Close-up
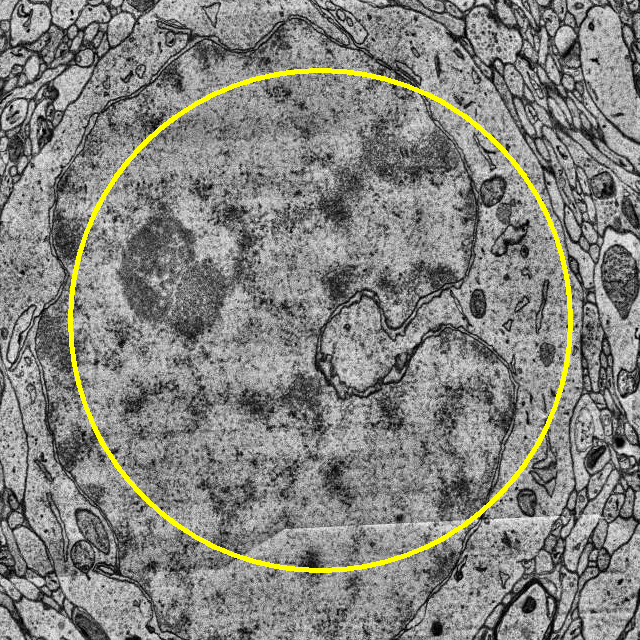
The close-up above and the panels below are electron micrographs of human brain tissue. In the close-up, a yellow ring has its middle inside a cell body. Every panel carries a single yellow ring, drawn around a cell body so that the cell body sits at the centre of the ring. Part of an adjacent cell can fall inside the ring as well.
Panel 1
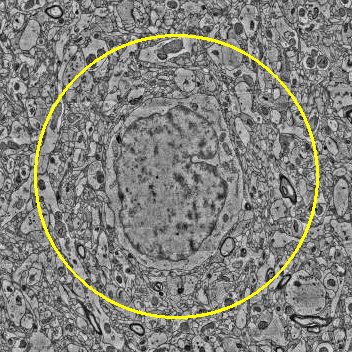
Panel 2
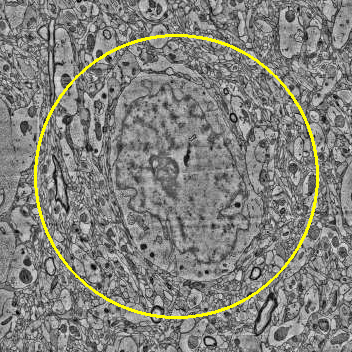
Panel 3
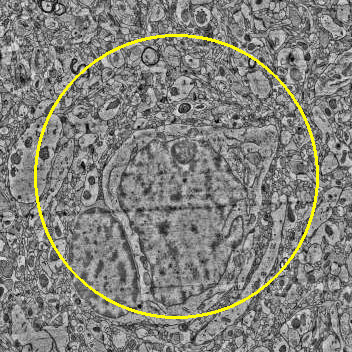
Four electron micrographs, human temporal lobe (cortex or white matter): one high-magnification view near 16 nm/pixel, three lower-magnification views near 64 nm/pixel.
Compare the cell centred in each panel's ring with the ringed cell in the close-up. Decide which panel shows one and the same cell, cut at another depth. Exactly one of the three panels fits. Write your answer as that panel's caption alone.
Panel 1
